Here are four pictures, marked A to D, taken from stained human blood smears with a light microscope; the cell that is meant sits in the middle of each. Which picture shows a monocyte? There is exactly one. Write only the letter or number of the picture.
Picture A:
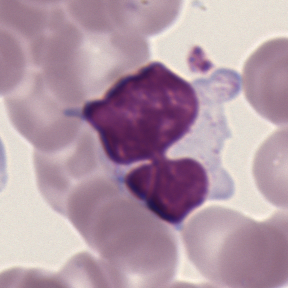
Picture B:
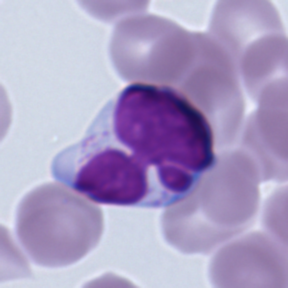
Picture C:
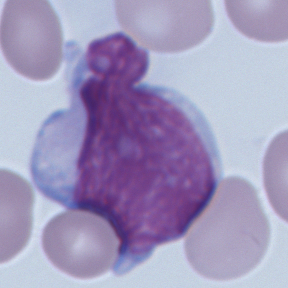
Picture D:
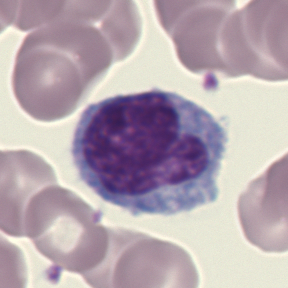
D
